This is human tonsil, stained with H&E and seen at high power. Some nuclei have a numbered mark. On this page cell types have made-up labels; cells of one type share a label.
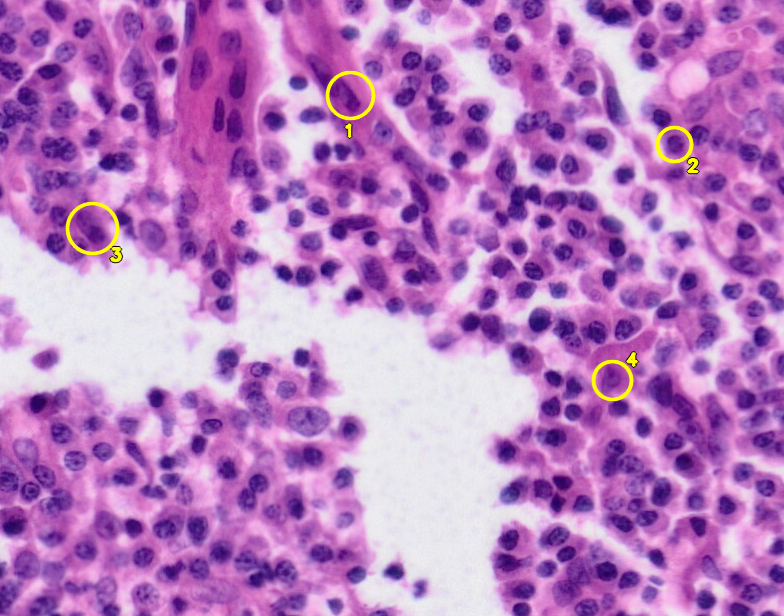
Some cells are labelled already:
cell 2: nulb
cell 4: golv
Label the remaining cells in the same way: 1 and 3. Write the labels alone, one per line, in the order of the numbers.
golv
golv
